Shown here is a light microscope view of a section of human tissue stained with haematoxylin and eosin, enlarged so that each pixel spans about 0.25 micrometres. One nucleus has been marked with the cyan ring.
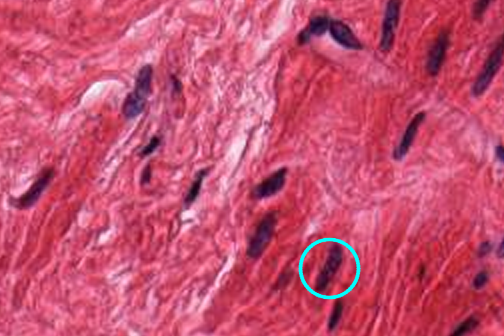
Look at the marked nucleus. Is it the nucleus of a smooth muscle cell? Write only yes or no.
yes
